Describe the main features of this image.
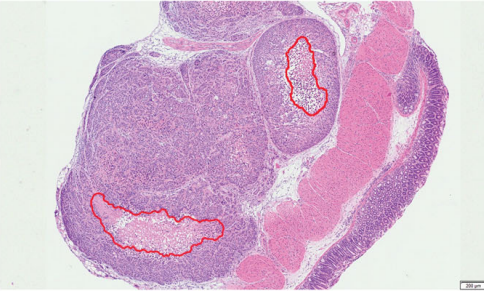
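This low-power section shows tumour tissue made up of densely packed cells whose purple-stained nuclei give the mass a strongly basophilic appearance. The tumour forms rounded nodules bounded by thin, pale connective tissue. Within the nodules lie irregular pale zones of necrosis, where the tissue is loose and fragmented, with scattered debris in place of densely packed nuclei. To one side of the tumour lie broad bands of bright pink-staining tissue, and beyond them a narrow strip of tissue with a cellular, purple border runs along the edge of the section.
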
